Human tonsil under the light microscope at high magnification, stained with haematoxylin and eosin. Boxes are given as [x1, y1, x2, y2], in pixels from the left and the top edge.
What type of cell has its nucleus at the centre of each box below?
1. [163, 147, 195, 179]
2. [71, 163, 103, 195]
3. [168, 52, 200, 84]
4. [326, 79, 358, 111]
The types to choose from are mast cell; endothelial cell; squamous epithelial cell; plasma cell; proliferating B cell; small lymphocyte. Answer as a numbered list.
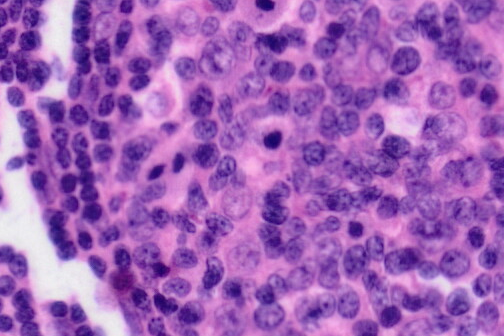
1. proliferating B cell
2. small lymphocyte
3. proliferating B cell
4. proliferating B cell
